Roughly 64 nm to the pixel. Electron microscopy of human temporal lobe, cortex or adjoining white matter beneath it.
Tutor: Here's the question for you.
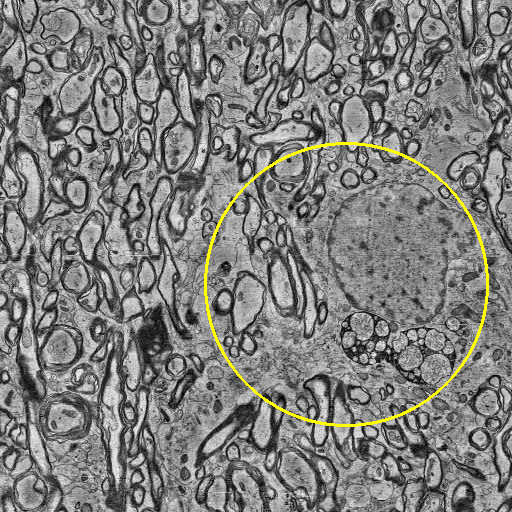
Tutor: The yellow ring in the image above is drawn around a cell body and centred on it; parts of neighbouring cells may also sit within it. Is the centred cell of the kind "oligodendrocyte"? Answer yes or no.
no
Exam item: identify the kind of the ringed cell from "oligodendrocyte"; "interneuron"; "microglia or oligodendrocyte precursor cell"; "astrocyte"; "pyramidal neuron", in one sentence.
It is an astrocyte that the ring is centred on.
